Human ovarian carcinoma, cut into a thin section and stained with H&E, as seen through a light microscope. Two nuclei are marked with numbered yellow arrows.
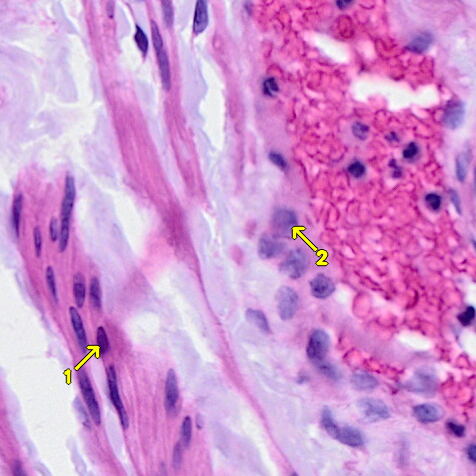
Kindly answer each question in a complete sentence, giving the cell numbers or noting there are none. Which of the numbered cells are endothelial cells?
None but cell 2 among the numbered cells is an endothelial cell.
